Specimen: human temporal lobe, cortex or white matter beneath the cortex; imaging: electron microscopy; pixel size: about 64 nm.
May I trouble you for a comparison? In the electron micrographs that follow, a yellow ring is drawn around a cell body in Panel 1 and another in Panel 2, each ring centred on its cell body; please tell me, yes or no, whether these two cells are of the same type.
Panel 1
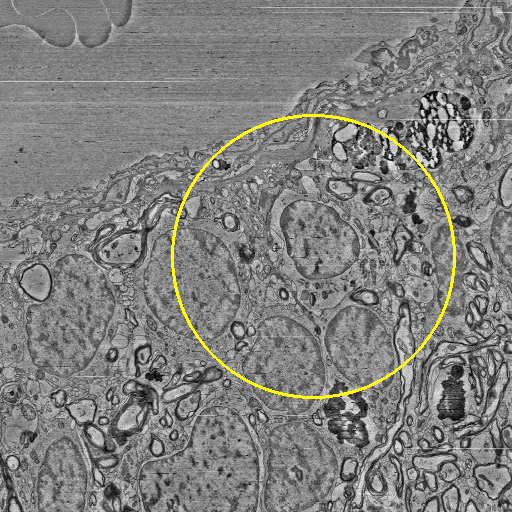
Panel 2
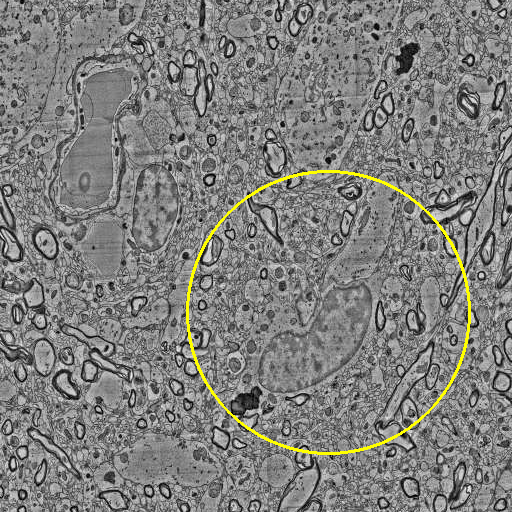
no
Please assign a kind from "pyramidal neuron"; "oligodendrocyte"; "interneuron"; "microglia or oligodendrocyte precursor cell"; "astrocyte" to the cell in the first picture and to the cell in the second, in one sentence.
In the first picture we have a microglial cell or oligodendrocyte precursor cell, and in the second, an oligodendrocyte.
